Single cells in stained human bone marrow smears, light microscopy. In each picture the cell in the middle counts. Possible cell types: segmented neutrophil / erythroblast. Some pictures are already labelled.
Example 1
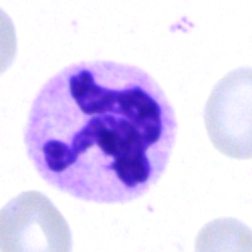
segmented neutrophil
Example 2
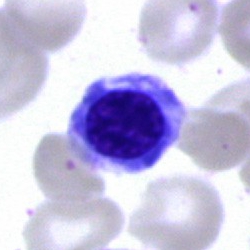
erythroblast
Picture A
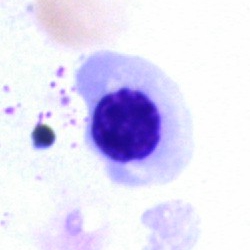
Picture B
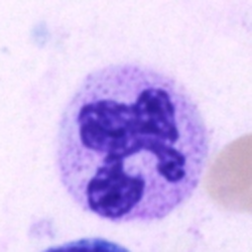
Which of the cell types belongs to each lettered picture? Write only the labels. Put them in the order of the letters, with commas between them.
erythroblast, segmented neutrophil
